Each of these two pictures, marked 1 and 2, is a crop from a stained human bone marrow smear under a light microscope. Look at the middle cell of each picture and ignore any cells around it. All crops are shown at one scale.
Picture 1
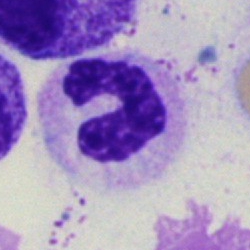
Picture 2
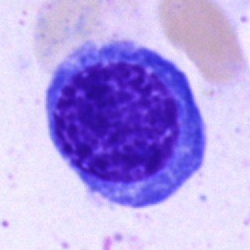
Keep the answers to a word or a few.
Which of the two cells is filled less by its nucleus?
1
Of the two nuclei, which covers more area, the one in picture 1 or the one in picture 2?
2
